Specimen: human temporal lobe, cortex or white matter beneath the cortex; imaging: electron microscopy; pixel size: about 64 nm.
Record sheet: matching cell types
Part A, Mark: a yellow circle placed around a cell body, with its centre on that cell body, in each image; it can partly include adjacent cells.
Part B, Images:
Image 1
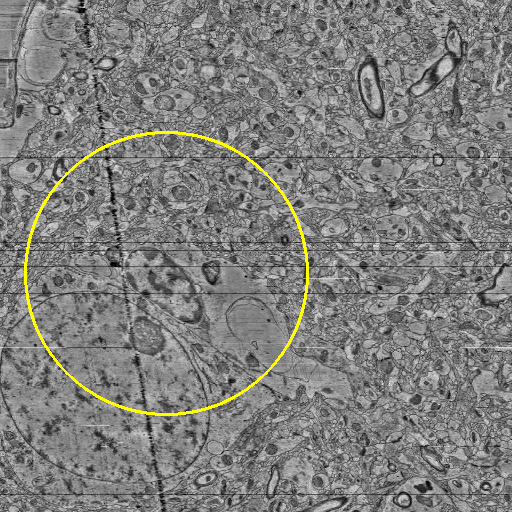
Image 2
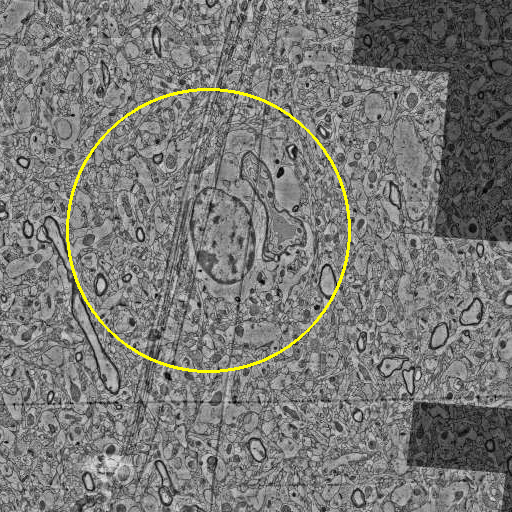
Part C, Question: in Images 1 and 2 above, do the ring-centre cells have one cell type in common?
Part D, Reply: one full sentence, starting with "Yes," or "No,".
Yes, the ring-centre cells of Image 1 and Image 2 are both of a single cell type.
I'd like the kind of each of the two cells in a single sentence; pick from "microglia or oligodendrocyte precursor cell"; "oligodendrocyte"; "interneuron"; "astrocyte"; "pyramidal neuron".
In each picture the ringed cell is a microglial cell or oligodendrocyte precursor cell.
